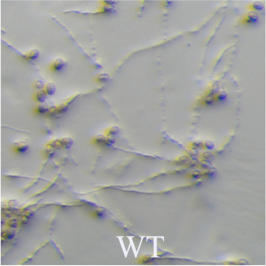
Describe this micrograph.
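Pollen grains with growing pollen tubes are scattered over a flat medium, seen in embossed relief contrast. The round grains gather in small clumps, and from several of them long, slender tubes of even width run out in gentle curves and cross one another, while many grains have no tube.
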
